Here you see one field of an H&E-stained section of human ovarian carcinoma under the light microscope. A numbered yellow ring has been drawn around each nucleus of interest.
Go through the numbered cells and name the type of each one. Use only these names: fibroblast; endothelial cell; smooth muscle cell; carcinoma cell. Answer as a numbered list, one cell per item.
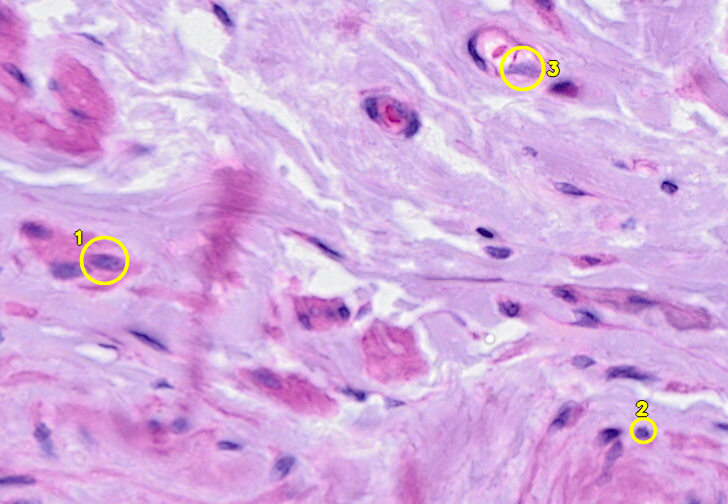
1. smooth muscle cell
2. smooth muscle cell
3. endothelial cell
